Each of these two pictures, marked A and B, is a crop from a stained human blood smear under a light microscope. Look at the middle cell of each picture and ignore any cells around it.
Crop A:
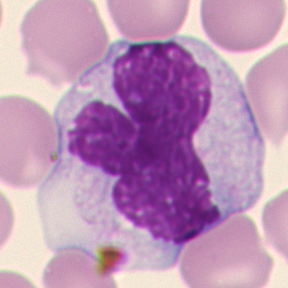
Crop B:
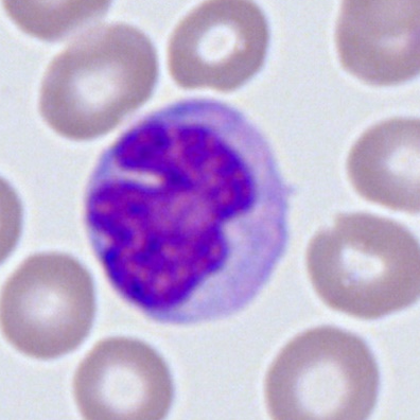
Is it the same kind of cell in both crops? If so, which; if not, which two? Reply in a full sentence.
Yes, the central cells in both of the crops are monocytes.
